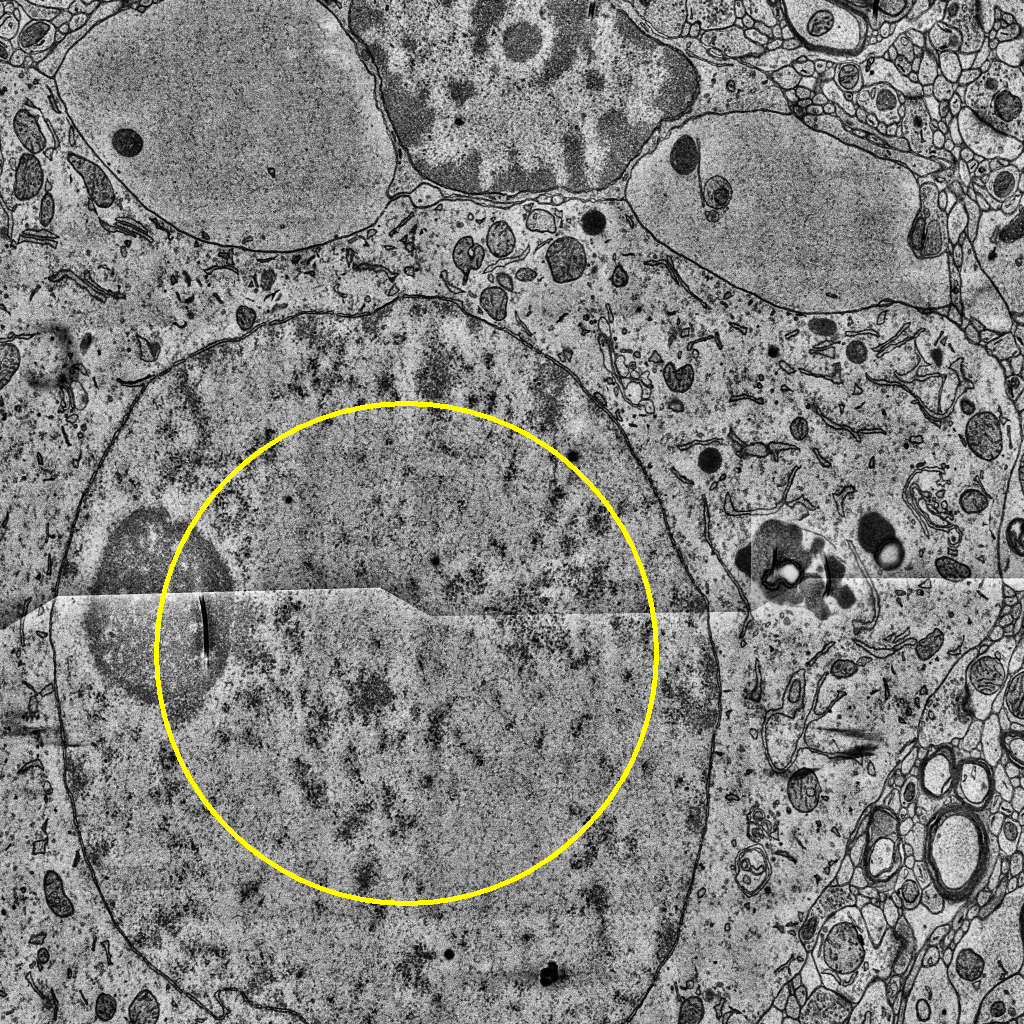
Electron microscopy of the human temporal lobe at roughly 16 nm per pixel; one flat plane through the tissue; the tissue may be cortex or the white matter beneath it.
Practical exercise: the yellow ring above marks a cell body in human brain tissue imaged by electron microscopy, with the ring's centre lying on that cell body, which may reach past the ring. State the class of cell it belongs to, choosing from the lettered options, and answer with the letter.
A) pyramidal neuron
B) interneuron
A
